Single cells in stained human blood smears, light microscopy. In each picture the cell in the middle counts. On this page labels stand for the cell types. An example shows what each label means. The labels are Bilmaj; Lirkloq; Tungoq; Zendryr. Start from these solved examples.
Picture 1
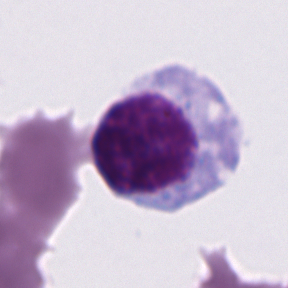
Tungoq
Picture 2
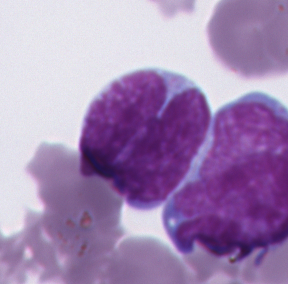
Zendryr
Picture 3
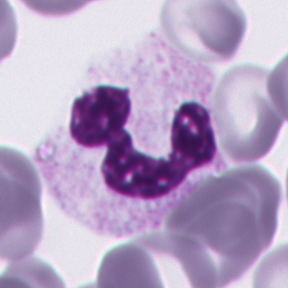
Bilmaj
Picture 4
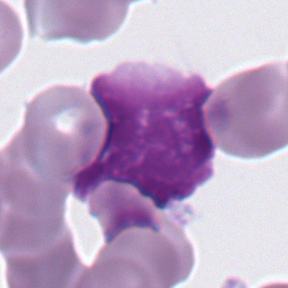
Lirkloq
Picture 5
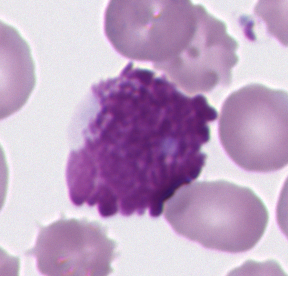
Lirkloq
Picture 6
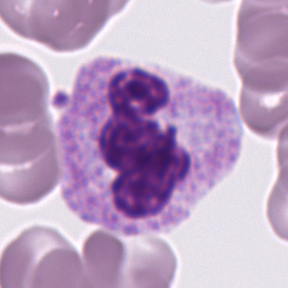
Bilmaj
